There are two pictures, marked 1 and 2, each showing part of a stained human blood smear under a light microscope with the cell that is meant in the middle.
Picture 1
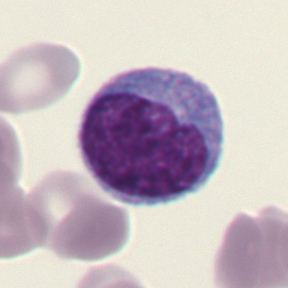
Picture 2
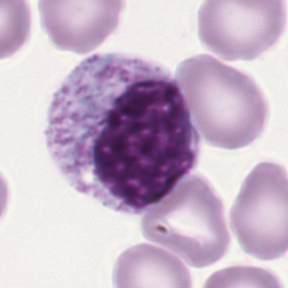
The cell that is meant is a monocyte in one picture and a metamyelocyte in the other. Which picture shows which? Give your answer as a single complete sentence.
In picture 1 the cell is a monocyte; in picture 2, a metamyelocyte.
